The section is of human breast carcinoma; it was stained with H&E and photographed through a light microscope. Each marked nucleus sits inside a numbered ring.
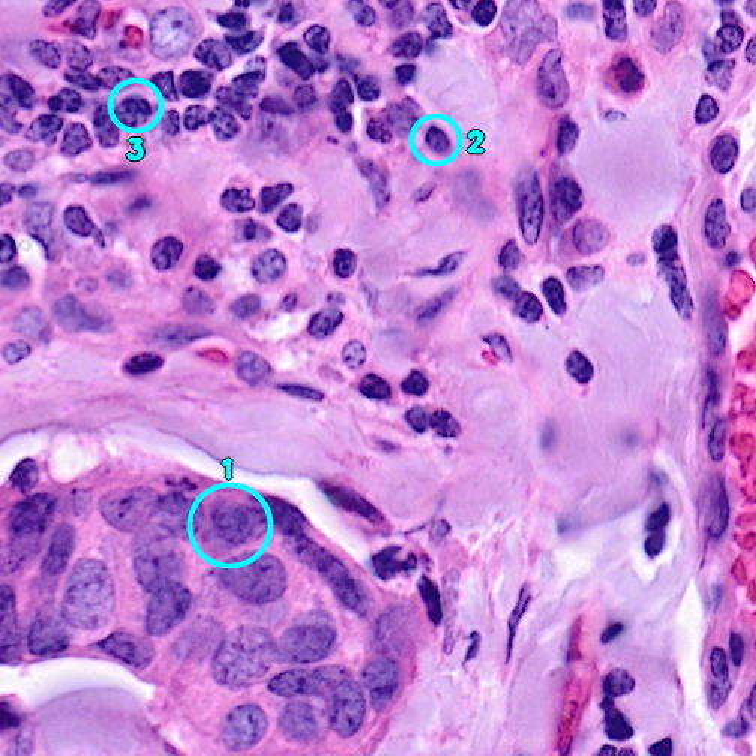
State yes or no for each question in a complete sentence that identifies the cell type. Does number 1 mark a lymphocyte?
No, the cell bearing number 1 is not a lymphocyte but a carcinoma cell.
